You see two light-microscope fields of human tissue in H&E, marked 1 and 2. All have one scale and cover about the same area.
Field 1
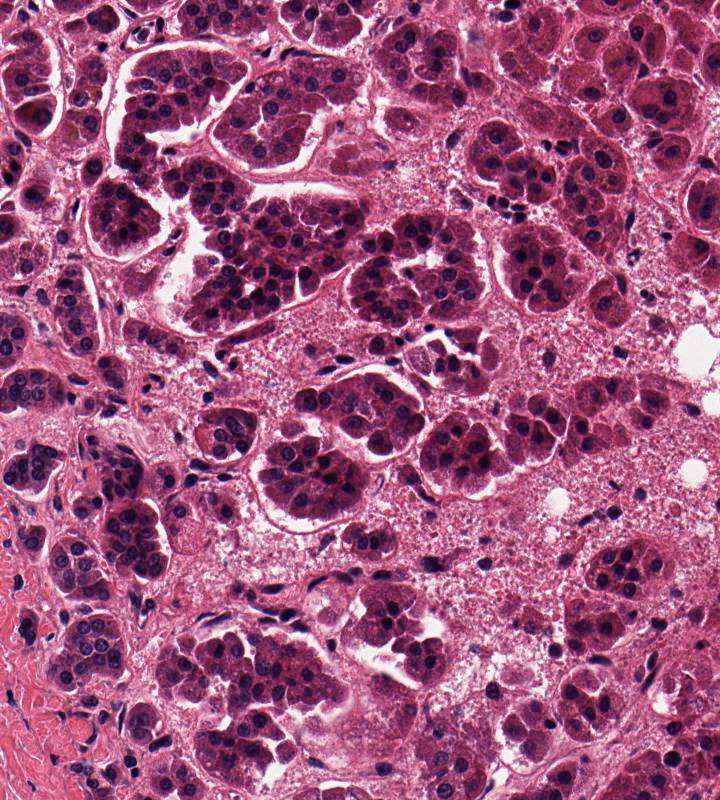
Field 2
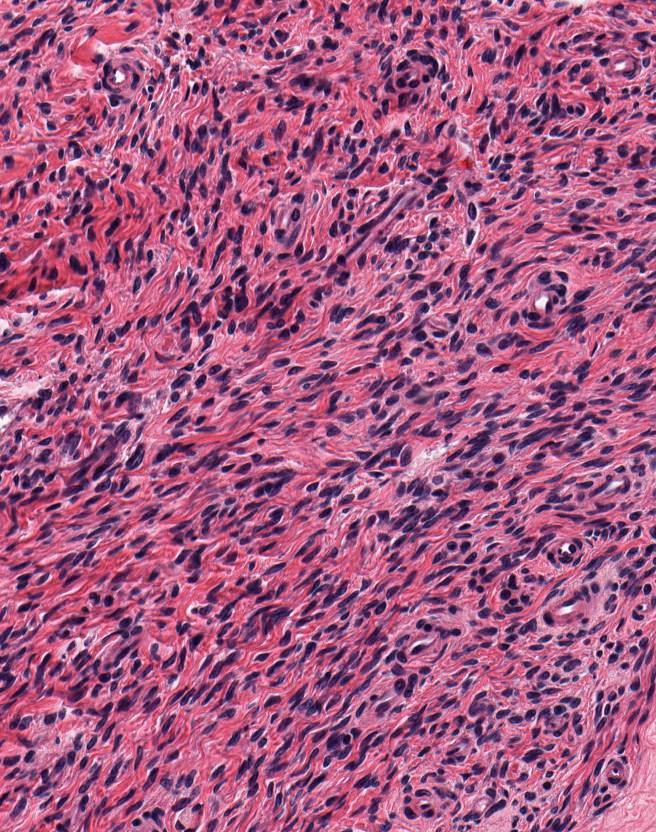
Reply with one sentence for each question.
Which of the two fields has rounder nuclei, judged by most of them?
It is field 1 whose nuclei are the rounder.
